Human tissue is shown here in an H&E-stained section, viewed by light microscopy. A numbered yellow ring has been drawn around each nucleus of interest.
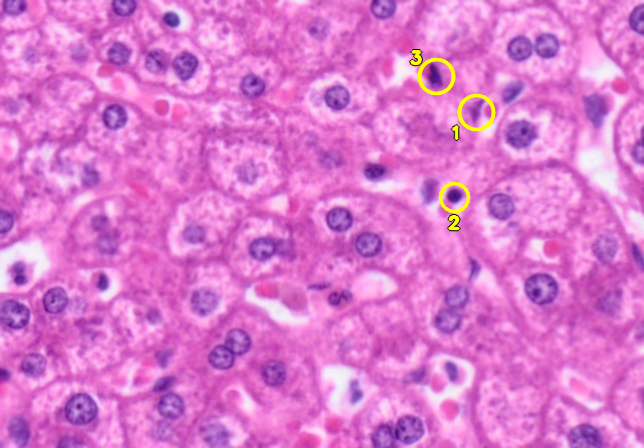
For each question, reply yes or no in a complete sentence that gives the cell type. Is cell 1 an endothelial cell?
Yes, the cell numbered 1 in this tissue is an endothelial cell.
